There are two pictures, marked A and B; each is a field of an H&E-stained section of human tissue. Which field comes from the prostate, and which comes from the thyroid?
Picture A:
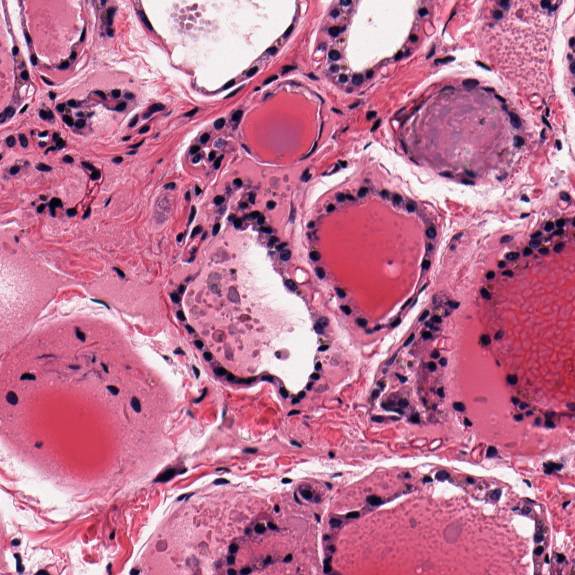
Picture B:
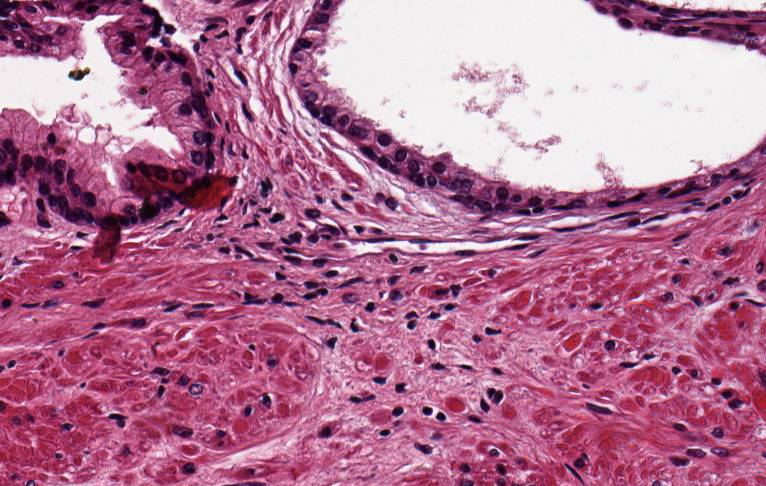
A: thyroid
B: prostate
